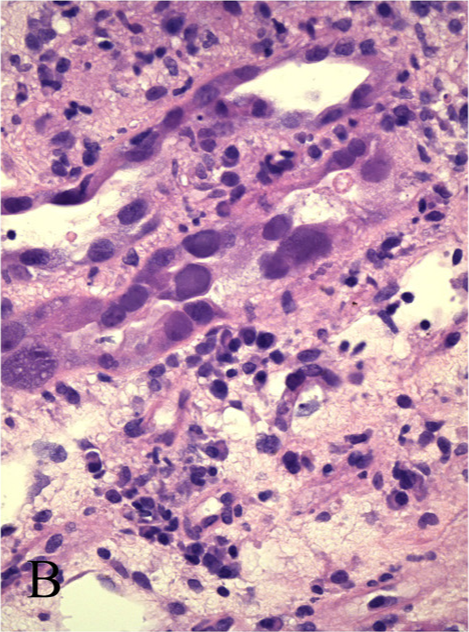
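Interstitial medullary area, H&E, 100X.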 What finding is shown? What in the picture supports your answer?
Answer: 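Many small round dark nuclei of inflammatory cells fill the tissue between tubules. The infiltrate is spread through the whole field.
Hence: diffuse inflammatory infiltration.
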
